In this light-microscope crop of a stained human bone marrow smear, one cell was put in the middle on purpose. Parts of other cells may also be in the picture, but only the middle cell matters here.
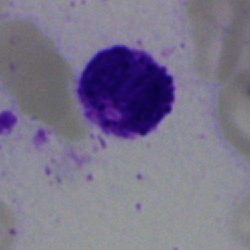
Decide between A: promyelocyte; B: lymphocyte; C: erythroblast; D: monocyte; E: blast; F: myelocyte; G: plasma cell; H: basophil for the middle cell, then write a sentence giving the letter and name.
Since the middle cell is a basophil, option H is the right one.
